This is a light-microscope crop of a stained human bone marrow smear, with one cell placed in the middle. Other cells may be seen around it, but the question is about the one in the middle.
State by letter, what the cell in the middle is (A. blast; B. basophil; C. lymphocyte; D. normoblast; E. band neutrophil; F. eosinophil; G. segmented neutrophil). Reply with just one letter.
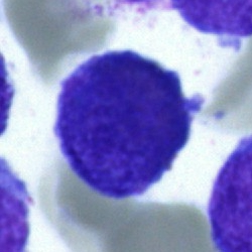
A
